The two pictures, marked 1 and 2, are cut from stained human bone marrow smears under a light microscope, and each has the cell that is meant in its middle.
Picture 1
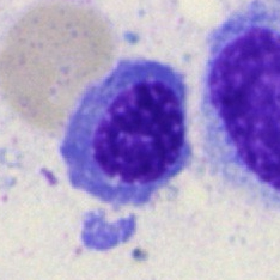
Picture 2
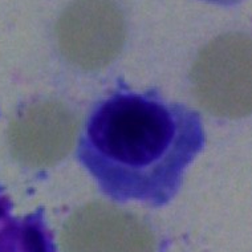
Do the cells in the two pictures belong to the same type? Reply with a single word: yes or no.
yes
